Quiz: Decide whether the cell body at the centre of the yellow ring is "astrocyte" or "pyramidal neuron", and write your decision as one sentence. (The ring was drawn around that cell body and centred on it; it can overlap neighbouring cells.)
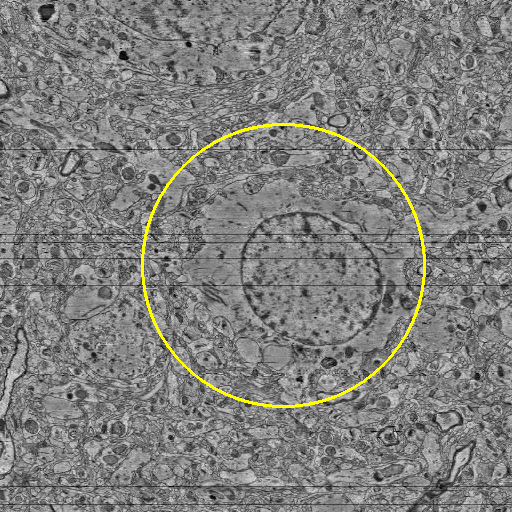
The cell the ring is centred on is an astrocyte.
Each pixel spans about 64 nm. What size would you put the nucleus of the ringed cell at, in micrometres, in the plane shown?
The nucleus appears roughly 9 by 8 micrometres in this plane.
